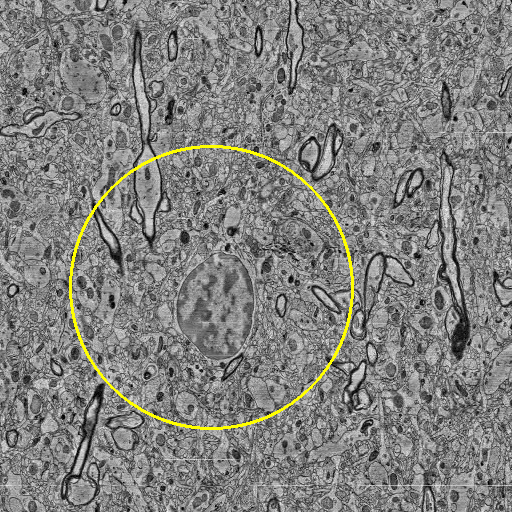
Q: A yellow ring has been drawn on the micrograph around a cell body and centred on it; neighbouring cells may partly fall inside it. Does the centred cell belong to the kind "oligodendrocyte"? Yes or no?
No, it belongs to another kind.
